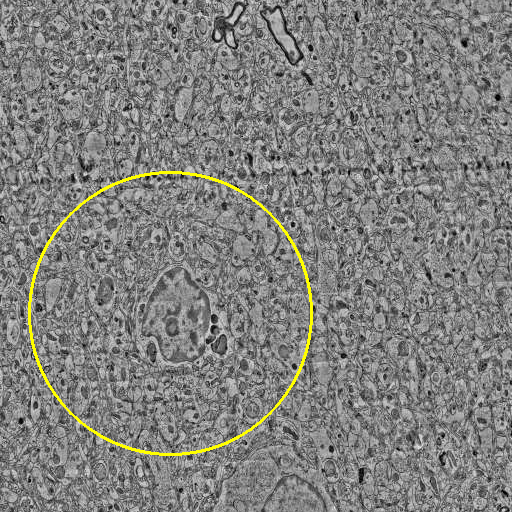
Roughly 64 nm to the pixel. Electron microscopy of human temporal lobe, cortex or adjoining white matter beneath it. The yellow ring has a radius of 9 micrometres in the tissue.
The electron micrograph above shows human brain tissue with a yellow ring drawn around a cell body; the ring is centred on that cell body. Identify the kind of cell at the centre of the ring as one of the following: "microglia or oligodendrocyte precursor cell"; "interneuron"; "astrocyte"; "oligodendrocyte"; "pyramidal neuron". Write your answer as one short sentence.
The cell at the centre of the ring is a microglial cell or oligodendrocyte precursor cell.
